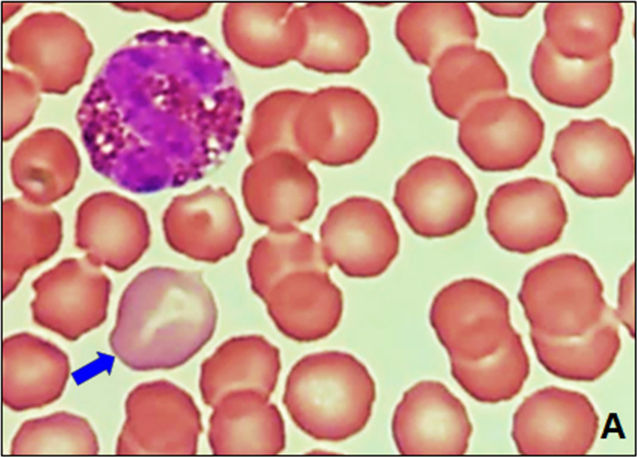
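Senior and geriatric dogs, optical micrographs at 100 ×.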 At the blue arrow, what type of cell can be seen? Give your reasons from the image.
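The arrowed cell has no nucleus. It is larger than the surrounding red cells. Its colour is paler and more greyish-lilac than the orange-red cells around it. The answer: Polychromatophilic erythrocytes.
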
